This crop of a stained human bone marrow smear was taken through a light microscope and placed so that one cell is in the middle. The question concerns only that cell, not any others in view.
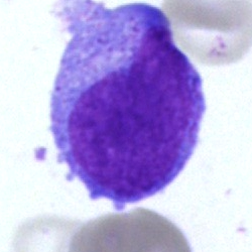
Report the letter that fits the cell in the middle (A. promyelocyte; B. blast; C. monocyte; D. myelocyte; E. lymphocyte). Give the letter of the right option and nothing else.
B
